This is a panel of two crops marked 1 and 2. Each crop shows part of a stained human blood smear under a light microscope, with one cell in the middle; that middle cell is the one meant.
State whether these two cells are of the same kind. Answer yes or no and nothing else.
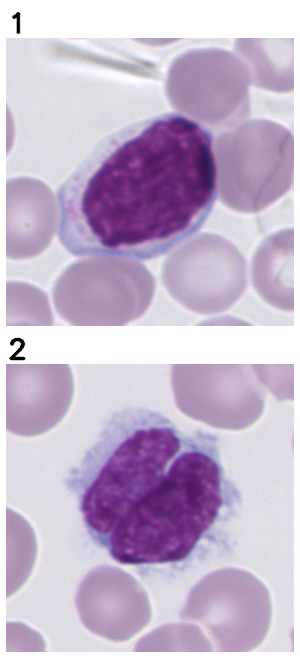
no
